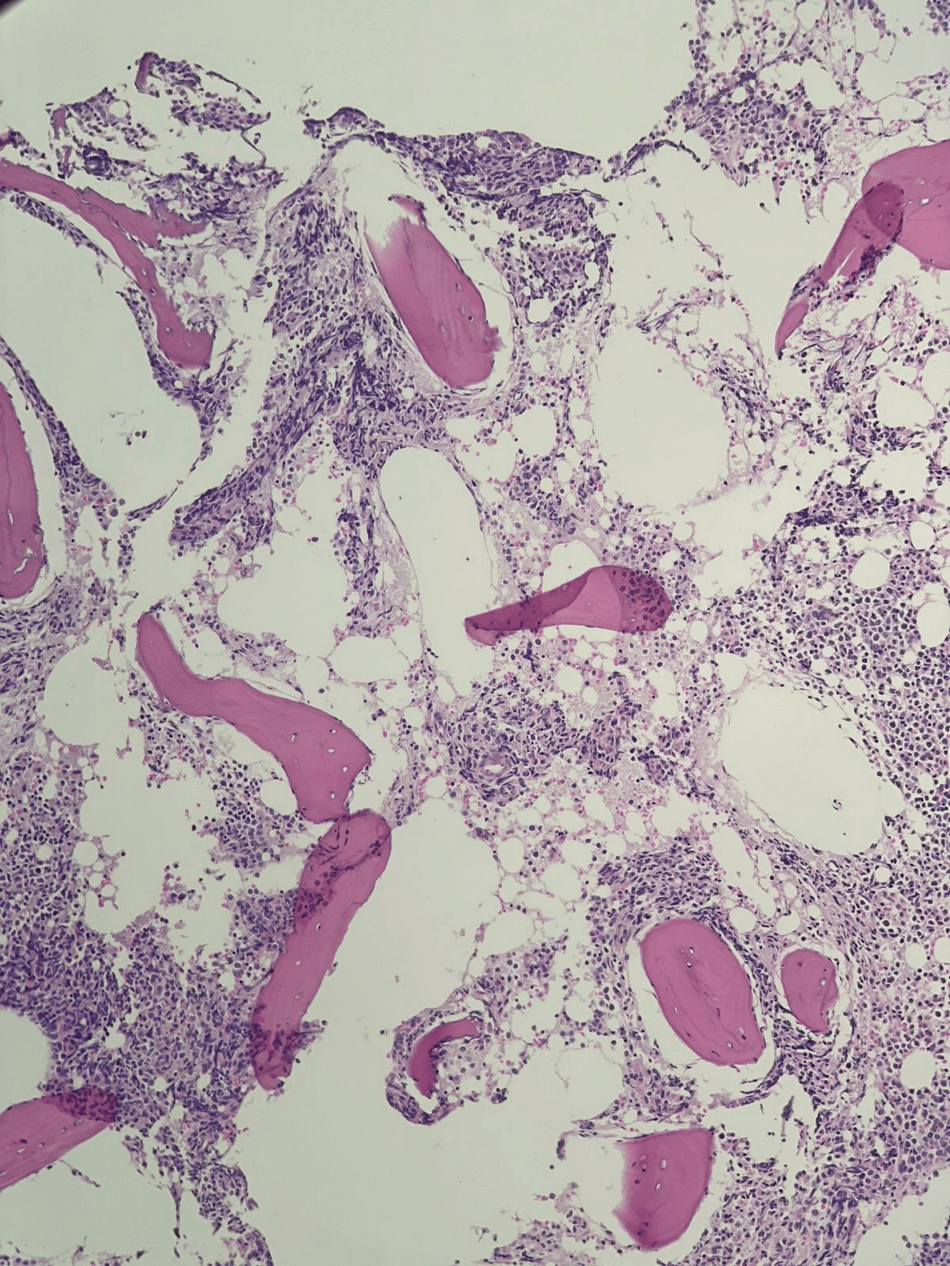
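Bone marrow trephine with scattered pink bony trabeculae that contain small empty osteocyte lacunae. Round clear fat vacuoles and loose pale areas lie between the cellular sheets.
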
